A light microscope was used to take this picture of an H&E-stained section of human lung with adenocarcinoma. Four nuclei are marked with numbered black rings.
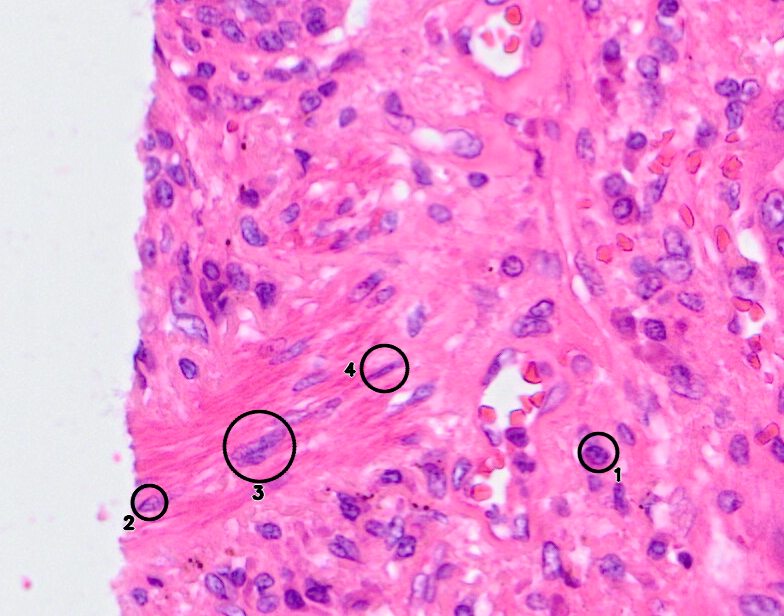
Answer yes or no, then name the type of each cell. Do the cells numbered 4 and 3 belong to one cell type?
Yes, the numbered cells 4 and 3 are both smooth muscle cells or pericytes.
